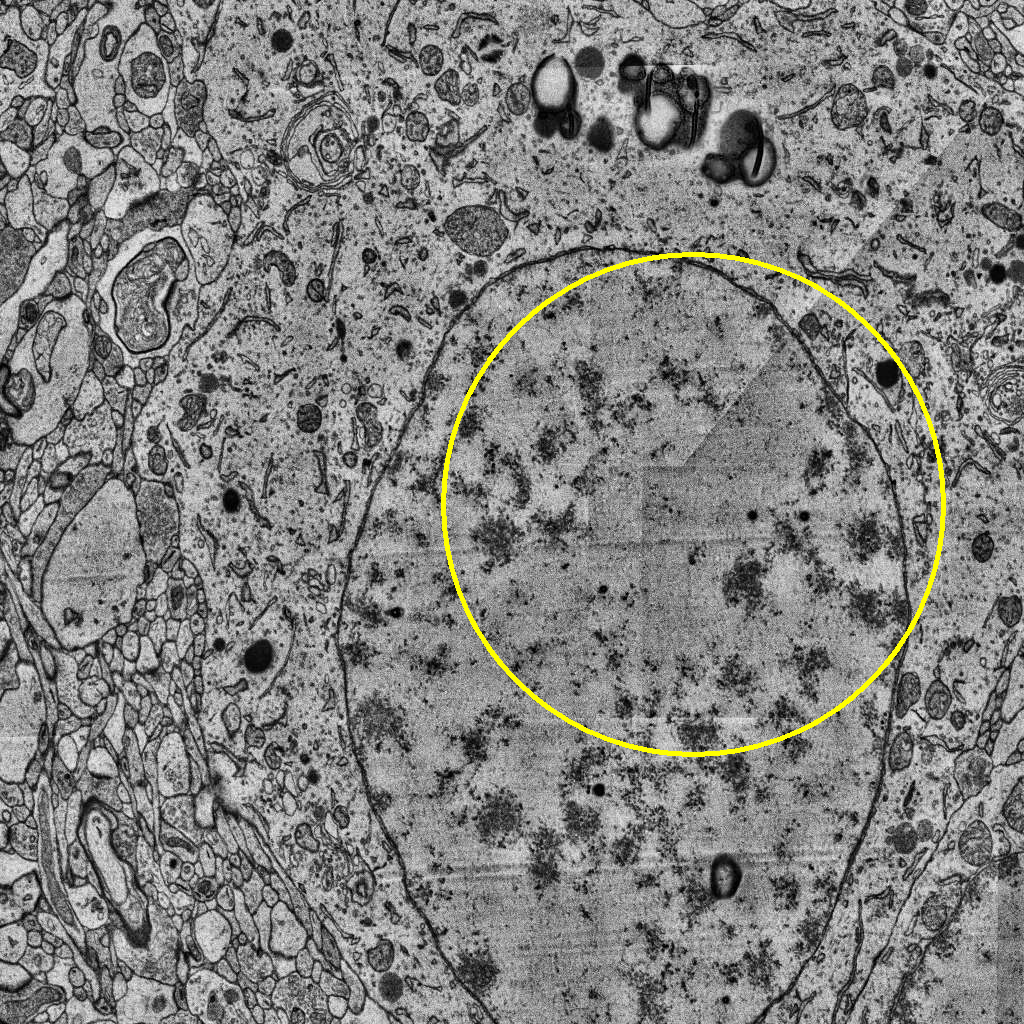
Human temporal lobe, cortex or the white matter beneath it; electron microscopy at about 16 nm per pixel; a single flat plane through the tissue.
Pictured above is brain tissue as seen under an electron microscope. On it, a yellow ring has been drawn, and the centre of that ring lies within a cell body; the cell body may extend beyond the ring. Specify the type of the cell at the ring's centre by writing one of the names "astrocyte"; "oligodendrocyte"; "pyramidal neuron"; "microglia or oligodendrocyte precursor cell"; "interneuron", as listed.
pyramidal neuron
